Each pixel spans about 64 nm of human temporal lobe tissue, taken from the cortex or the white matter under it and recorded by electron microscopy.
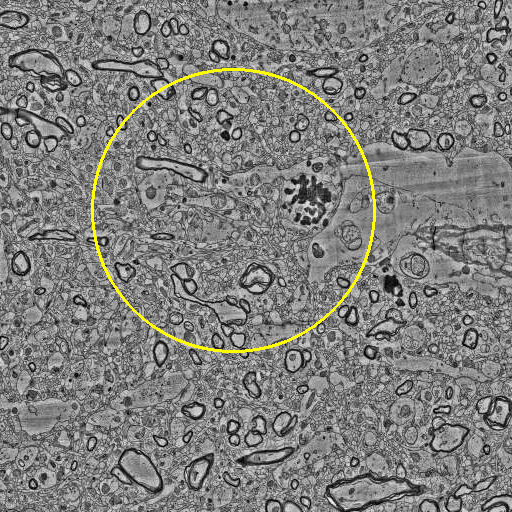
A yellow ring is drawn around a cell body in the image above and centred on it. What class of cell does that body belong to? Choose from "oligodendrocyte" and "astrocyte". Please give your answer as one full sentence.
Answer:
The yellow ring above is centred on the cell body of an oligodendrocyte.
